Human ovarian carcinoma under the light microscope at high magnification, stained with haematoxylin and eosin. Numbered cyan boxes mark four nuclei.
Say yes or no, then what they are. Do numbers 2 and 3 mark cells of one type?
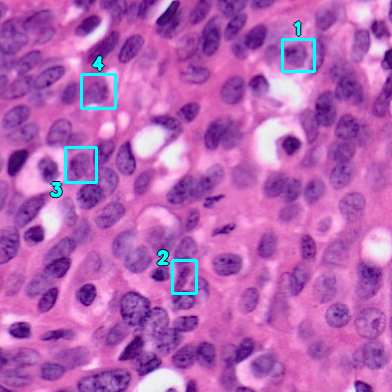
Yes, cells 2 and 3 are two carcinoma cells.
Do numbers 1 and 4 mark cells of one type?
No, cell 1 is categorized as a macrophage or monocyte, while cell 4 is categorized as a carcinoma cell.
